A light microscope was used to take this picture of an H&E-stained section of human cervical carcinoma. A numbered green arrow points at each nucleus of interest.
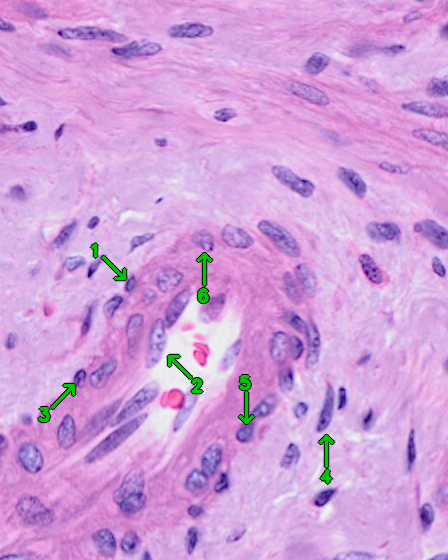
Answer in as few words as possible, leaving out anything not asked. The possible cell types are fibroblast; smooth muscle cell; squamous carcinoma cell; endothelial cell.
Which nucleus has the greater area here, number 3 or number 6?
6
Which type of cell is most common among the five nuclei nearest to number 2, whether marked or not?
smooth muscle cell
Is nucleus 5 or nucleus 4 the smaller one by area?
5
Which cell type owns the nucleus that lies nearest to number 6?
smooth muscle cell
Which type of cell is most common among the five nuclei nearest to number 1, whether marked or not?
smooth muscle cell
